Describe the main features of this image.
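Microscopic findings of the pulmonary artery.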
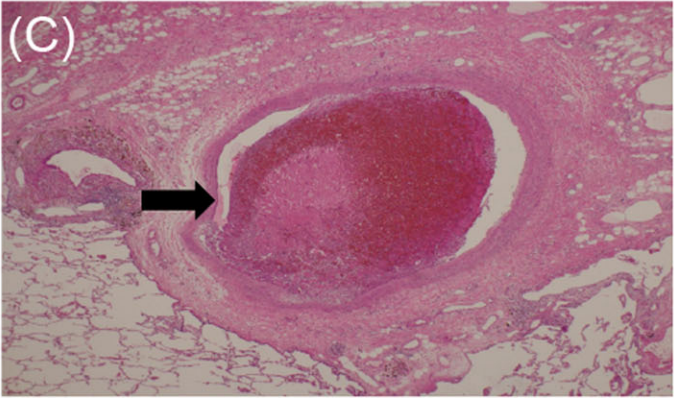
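A low-magnification section of lung shows a large vessel whose lumen is filled by a dense red-pink thrombus. The thrombus is oval and occupies most of the lumen. The vessel wall is a thick band of pink fibrous tissue surrounded by paler, looser tissue, with a smaller vessel-like structure beside it on the left. Around it, the lung parenchyma consists of thin-walled alveolar air spaces.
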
